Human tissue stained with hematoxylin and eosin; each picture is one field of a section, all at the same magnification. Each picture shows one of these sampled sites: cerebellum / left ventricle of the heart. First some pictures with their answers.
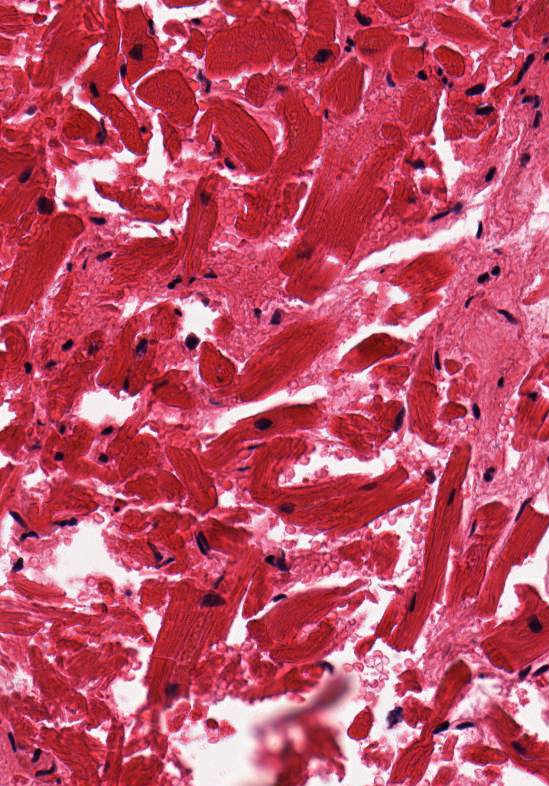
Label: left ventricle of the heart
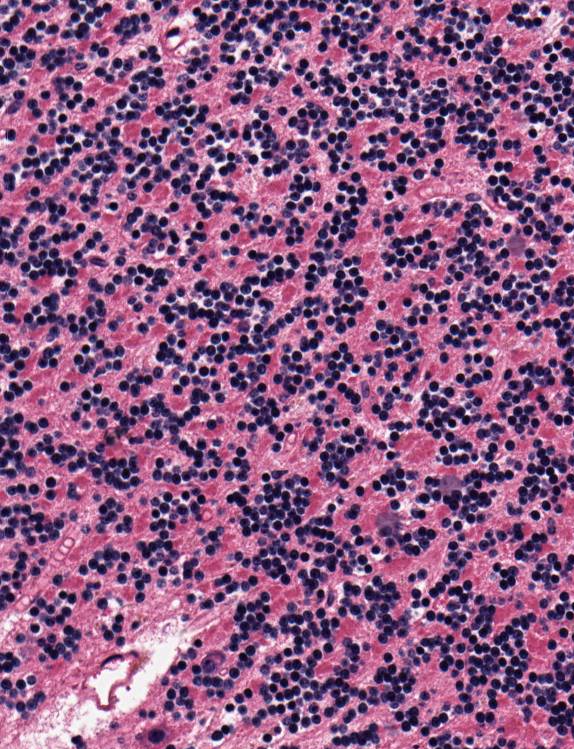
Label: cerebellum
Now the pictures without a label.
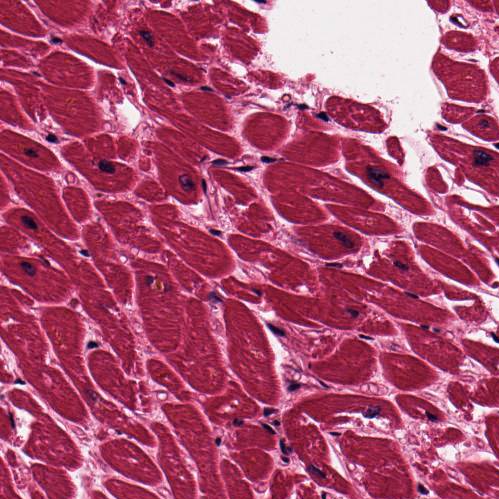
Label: left ventricle of the heart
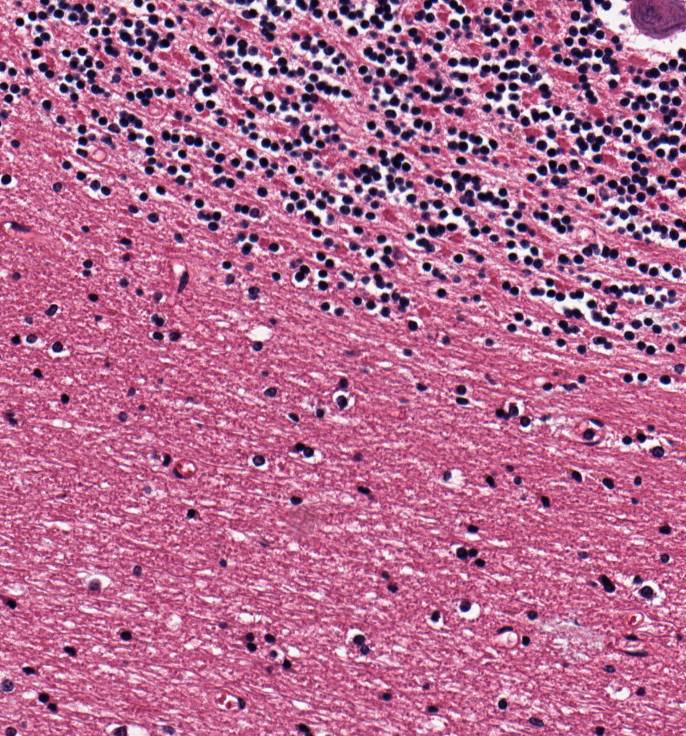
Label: cerebellum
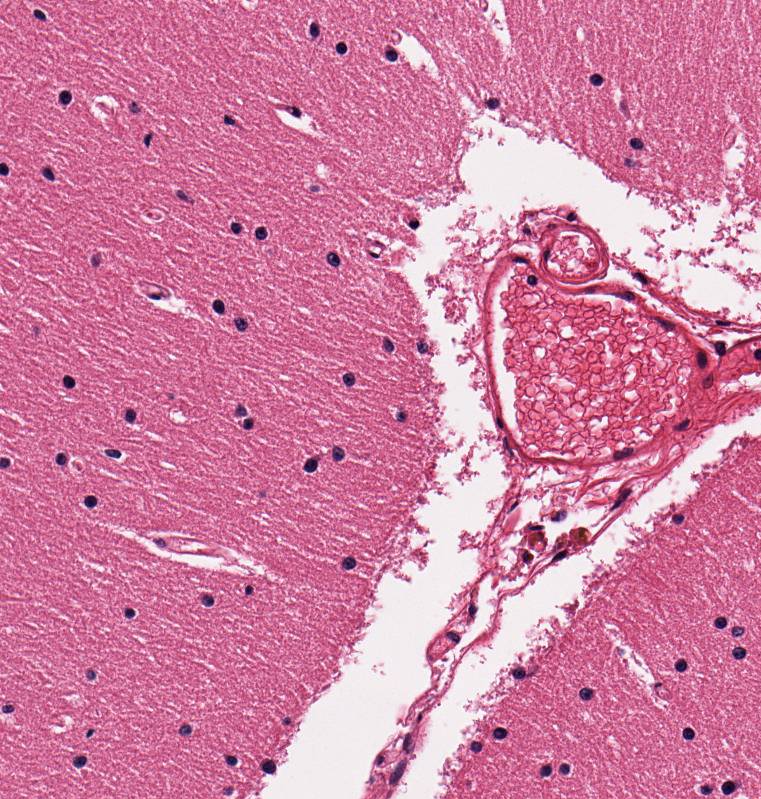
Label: cerebellum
